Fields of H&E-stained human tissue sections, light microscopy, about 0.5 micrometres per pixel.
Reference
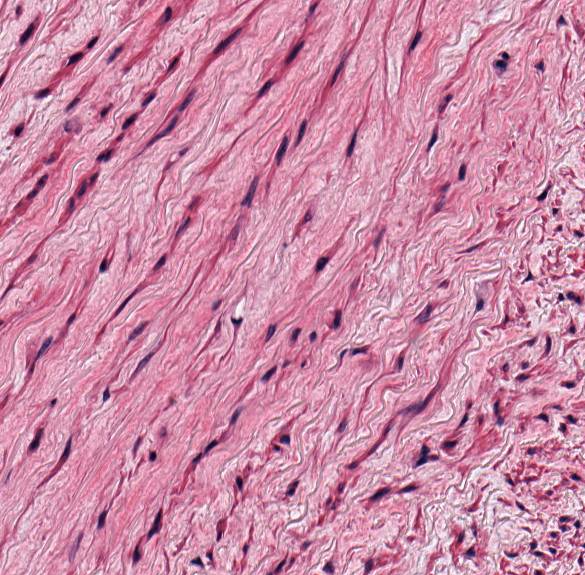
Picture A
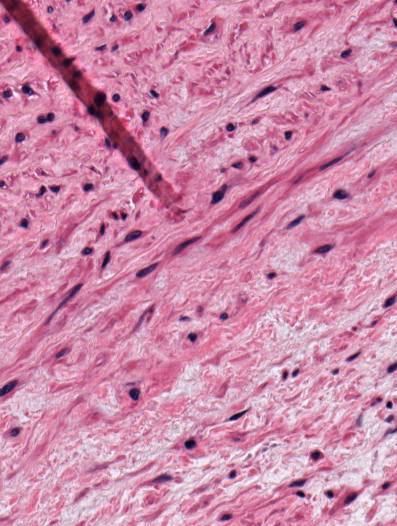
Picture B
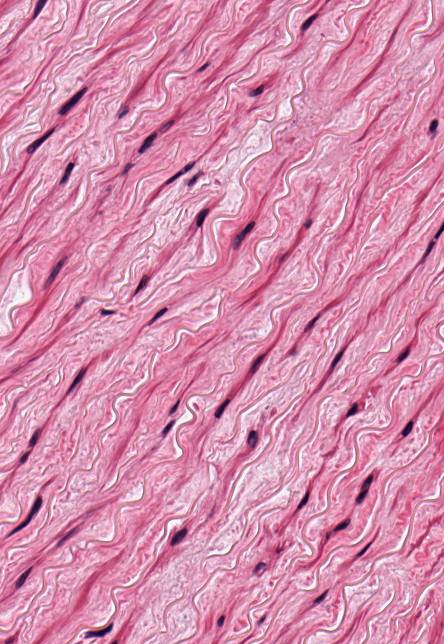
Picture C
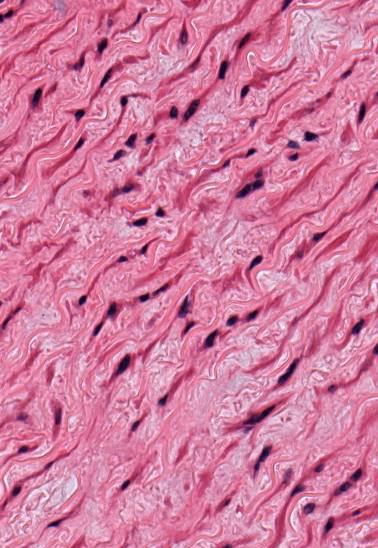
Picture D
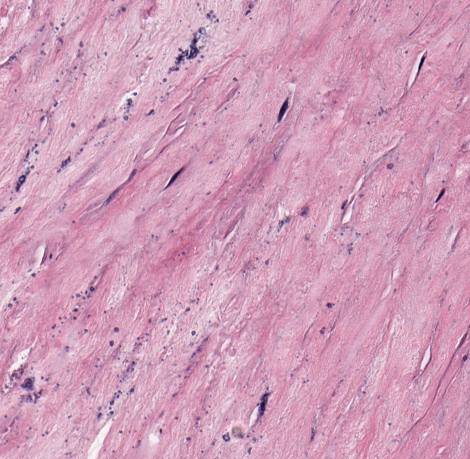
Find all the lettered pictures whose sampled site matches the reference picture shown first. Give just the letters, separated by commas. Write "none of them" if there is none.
A, B, C, D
